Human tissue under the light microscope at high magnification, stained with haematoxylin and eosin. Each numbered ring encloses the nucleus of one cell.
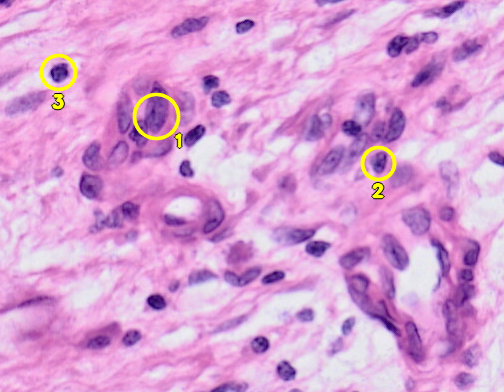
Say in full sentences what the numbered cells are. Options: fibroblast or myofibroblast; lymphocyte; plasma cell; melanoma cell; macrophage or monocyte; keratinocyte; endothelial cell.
Cell 1 is an endothelial cell, cell 2 is a lymphocyte and cell 3 is a lymphocyte.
